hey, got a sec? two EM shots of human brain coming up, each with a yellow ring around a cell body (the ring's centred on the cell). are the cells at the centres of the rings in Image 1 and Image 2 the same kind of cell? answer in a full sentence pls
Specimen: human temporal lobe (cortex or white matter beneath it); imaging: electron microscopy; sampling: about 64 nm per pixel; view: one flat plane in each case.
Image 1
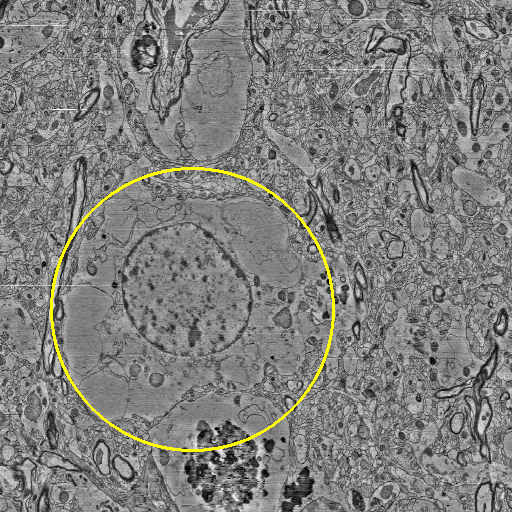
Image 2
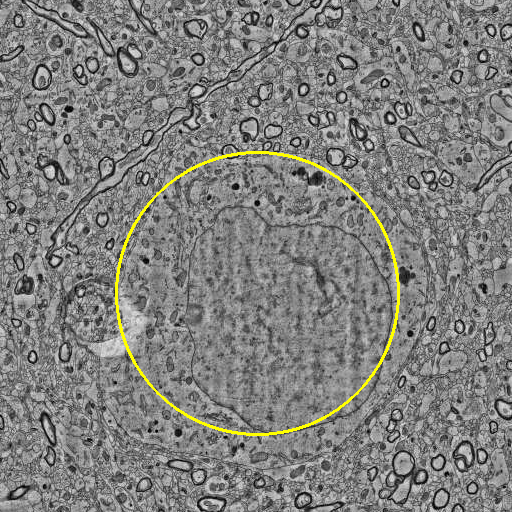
No, they are two kinds of cell.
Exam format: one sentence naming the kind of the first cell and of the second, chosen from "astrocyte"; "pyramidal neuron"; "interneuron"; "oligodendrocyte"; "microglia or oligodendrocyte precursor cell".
The first picture's cell is an astrocyte, and the second picture's cell is a pyramidal neuron.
